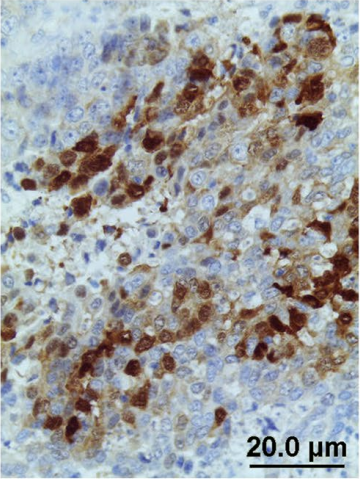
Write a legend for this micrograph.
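This is a crowded sheet of large tumour cells with big, oval, pale-blue nuclei, some of which show visible nucleoli, and moderate amounts of cytoplasm. Cell borders are indistinct in many places, and the cells lie closely packed with little intervening stroma except for a looser, paler area near the centre. A brown stain fills the cytoplasm of a portion of the cells, which are scattered in clusters rather than uniformly spread across the field. Some of the stained cells are intensely dark brown and somewhat irregular in shape, while others stain only lightly. The remaining tumour cells show only the blue nuclear counterstain, so the staining is patchy and focal.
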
